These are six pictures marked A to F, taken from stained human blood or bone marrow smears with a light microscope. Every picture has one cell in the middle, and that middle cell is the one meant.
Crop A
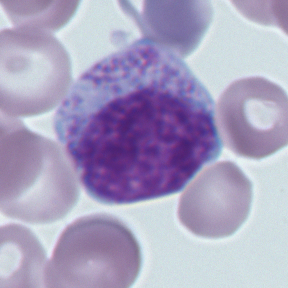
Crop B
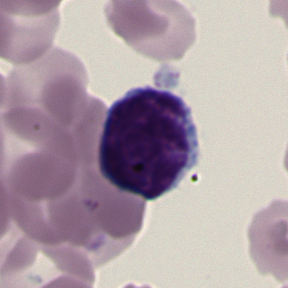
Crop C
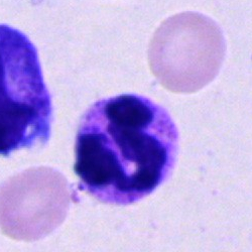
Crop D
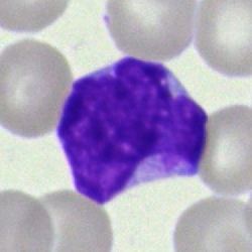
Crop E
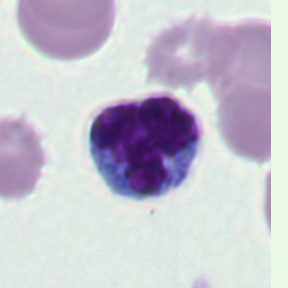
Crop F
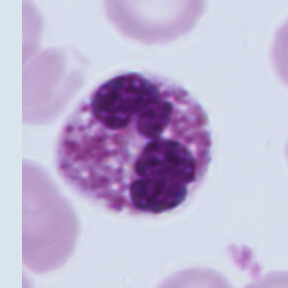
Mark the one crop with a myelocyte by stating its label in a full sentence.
Crop A is the crop that shows a myelocyte in its middle.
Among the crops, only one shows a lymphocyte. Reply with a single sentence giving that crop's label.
The crop bearing a lymphocyte is crop B.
